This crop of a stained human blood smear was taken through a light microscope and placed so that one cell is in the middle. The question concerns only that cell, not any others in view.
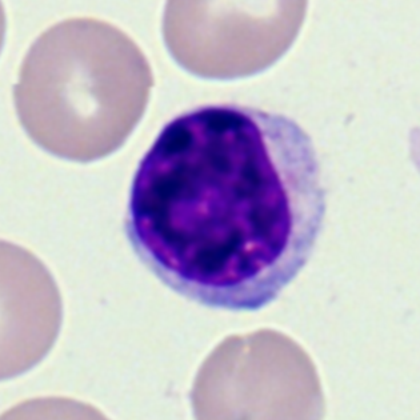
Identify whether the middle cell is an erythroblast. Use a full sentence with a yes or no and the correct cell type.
No, that would be a lymphocyte, not an erythroblast, for the cell at the centre.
